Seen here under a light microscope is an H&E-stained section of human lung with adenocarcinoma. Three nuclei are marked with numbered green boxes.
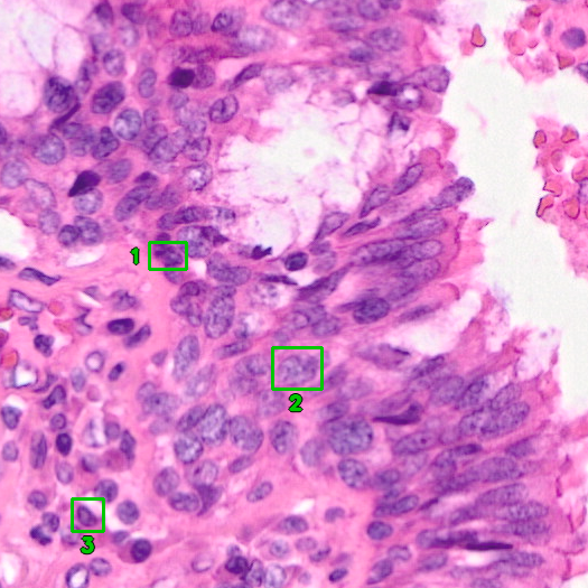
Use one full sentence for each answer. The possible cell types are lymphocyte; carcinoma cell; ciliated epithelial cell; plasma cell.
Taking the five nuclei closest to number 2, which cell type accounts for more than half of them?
The majority of the five nuclei closest to number 2 belong to ciliated epithelial cells.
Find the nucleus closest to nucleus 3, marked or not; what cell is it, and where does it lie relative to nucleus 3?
The nearest nucleus is that of a plasma cell and lies below and to the left of nucleus 3.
